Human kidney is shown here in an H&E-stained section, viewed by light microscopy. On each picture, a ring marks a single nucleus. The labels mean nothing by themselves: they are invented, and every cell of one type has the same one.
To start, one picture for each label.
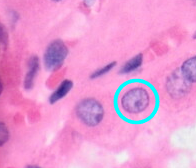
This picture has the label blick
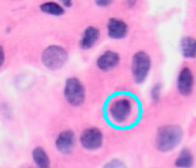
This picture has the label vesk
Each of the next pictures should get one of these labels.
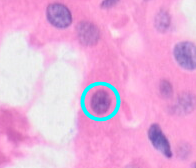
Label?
blick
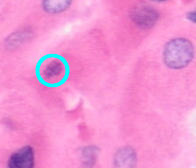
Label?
blick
